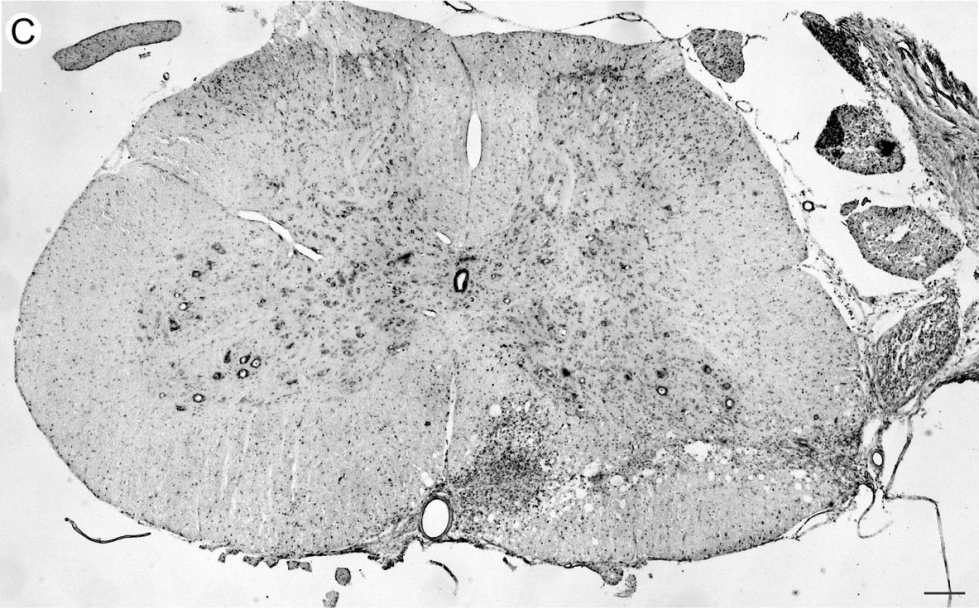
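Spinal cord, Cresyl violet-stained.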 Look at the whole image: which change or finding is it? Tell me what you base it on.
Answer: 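Wide unilateral lesion at the ventral funiculus. On one side only, the ventral white matter beside the ventral median fissure is vacuolated and densely dotted with cells. The matching ventral white matter on the other side is pale and even.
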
